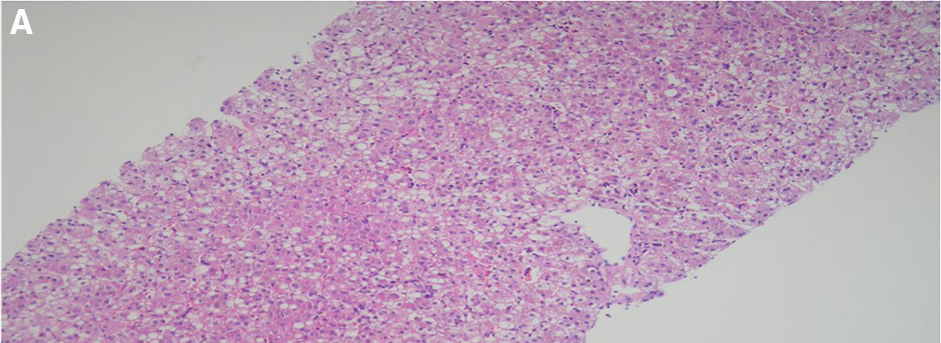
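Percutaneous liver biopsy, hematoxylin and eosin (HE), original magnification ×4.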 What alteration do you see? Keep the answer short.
Micro- and macrosteatosis of hepatocytes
